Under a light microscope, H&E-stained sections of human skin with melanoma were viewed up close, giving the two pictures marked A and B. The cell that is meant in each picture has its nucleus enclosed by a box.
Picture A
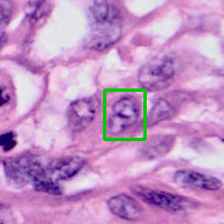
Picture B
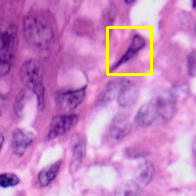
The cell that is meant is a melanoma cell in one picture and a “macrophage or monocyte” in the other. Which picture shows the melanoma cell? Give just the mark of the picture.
A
